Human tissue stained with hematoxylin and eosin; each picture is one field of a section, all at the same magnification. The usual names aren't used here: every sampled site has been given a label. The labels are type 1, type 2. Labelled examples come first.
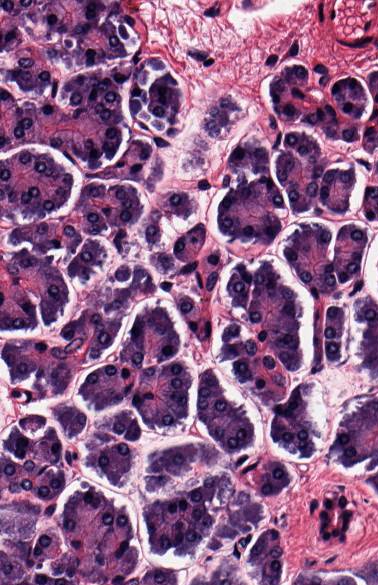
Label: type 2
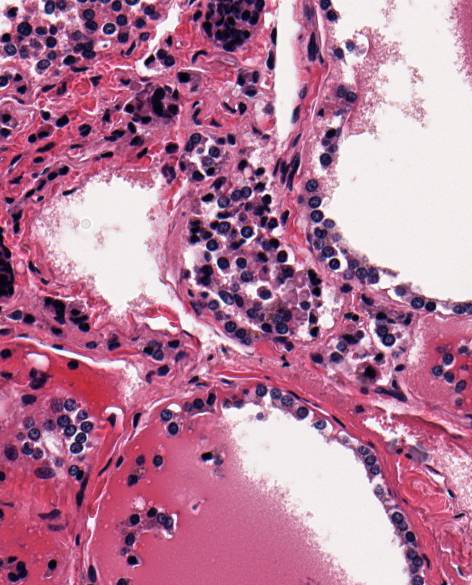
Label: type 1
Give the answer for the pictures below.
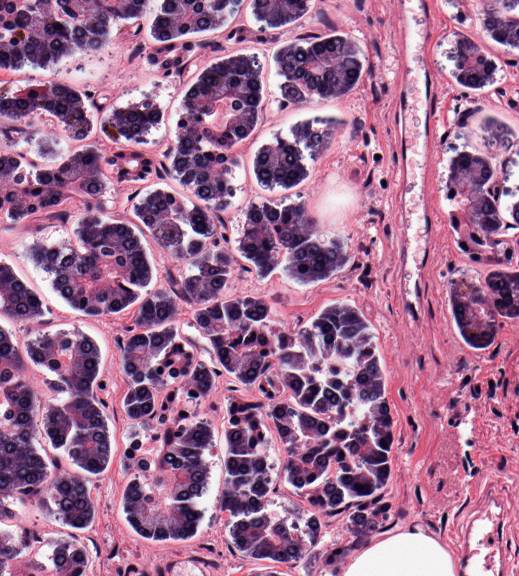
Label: type 2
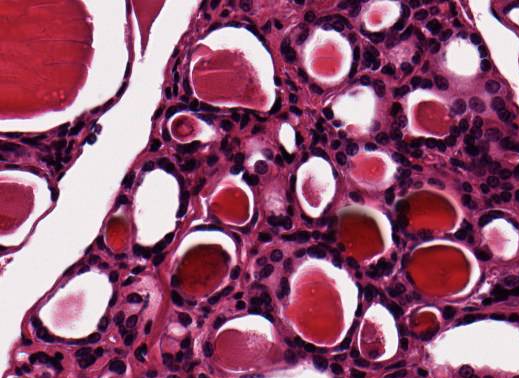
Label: type 1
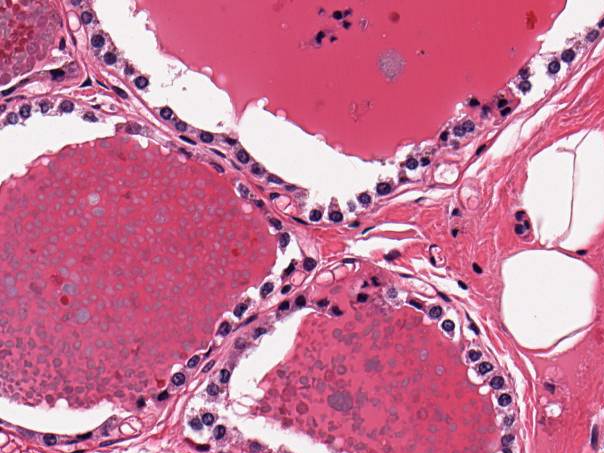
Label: type 1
